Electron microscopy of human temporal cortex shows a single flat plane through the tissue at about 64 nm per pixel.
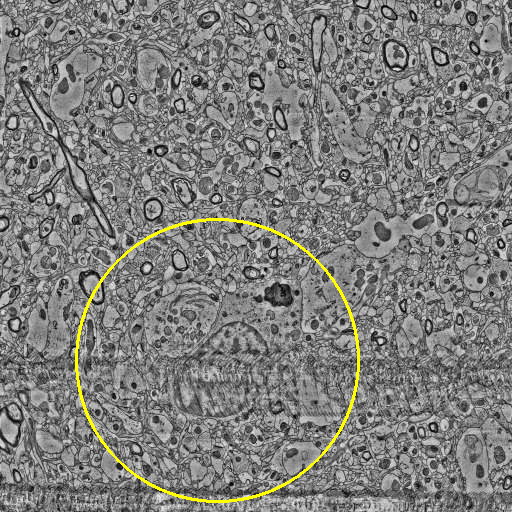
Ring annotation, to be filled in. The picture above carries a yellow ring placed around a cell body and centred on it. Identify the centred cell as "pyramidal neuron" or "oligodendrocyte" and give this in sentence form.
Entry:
The cell in the middle of the ring is an oligodendrocyte.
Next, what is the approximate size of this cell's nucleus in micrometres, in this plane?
In this plane the nucleus measures roughly 7 by 5 micrometres.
